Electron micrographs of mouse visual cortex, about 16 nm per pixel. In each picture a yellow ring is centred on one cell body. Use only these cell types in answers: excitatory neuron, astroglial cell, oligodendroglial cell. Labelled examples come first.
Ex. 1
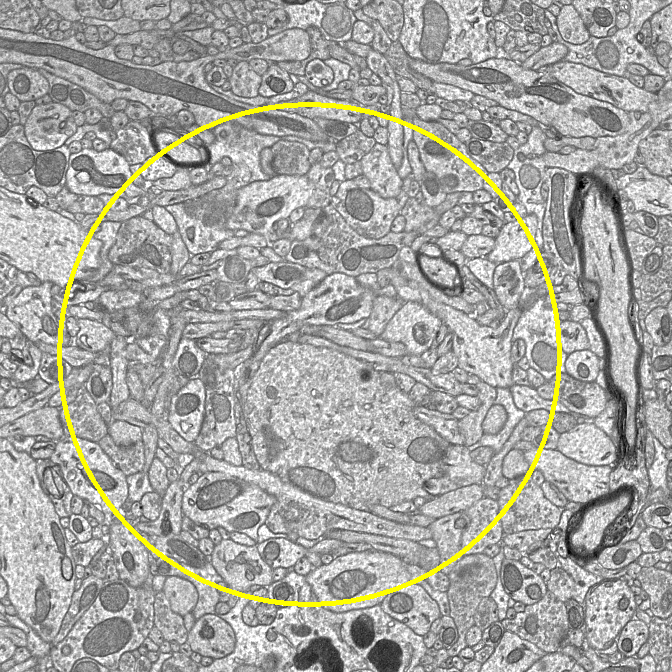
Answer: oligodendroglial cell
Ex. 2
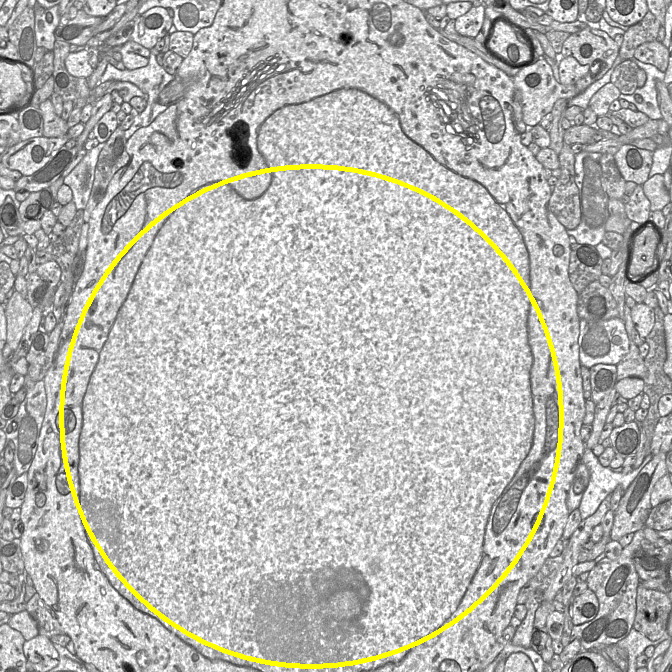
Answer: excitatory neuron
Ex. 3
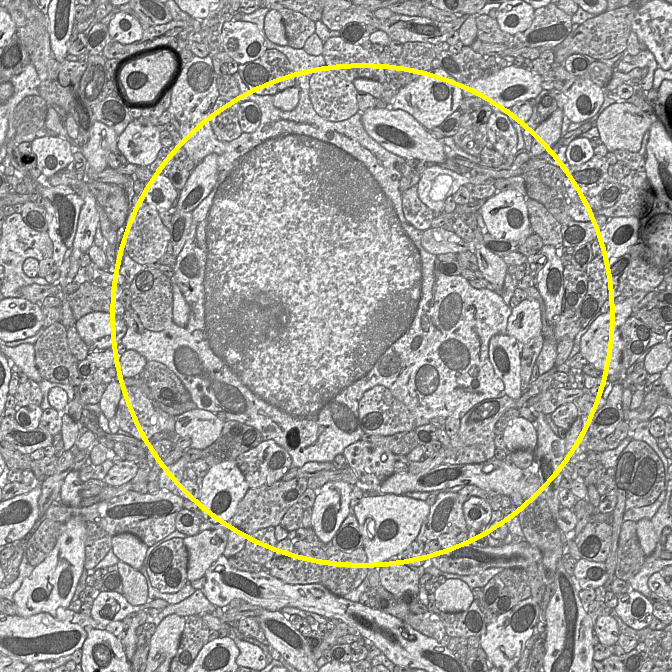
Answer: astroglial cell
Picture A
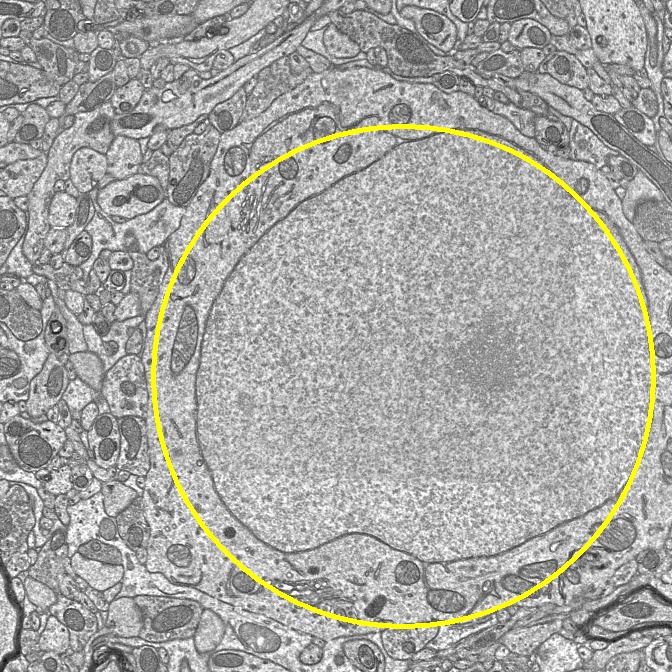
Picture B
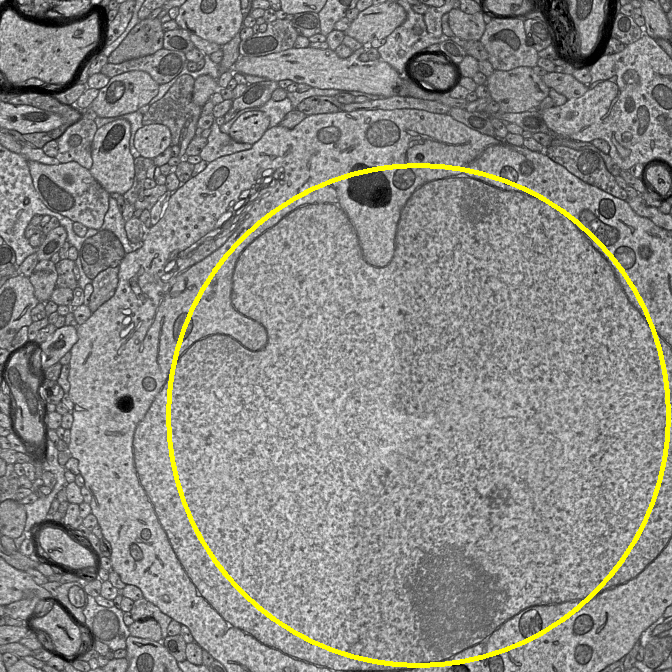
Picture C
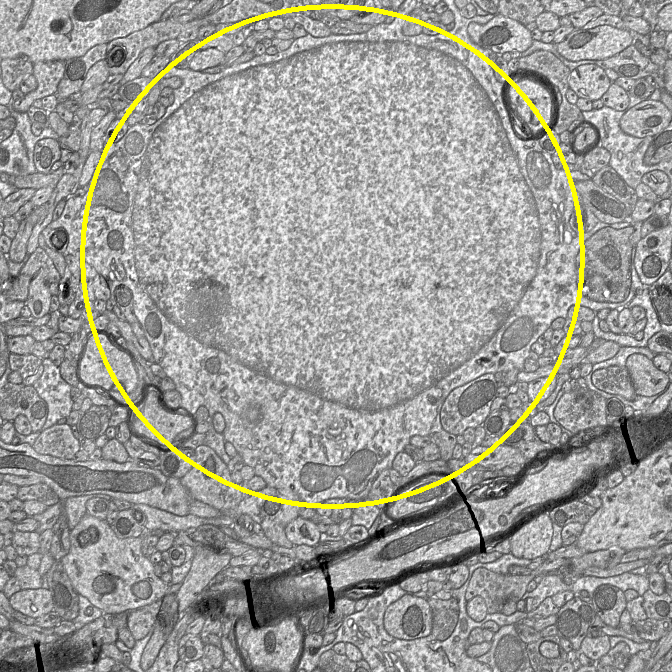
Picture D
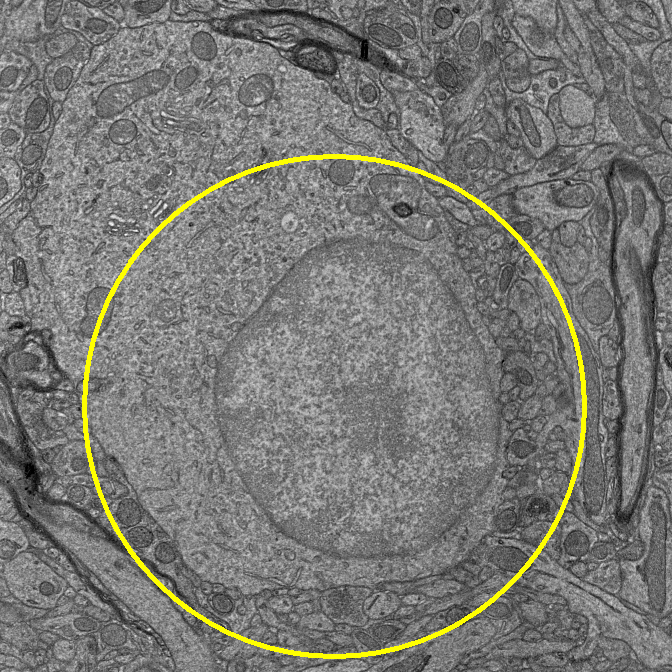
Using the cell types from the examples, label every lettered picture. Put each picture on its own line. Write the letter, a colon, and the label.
A: excitatory neuron
B: excitatory neuron
C: astroglial cell
D: oligodendroglial cell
